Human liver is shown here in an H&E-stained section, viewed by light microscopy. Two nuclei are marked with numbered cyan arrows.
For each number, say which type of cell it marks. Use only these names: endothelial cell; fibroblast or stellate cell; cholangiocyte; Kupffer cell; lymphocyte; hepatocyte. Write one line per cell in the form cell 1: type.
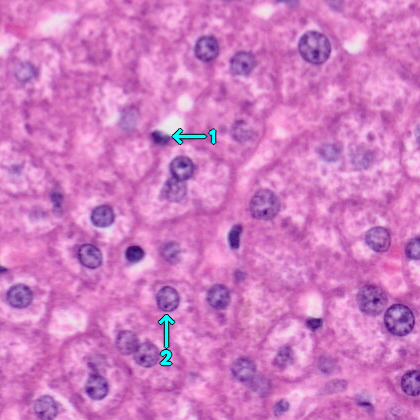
cell 1: endothelial cell
cell 2: hepatocyte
